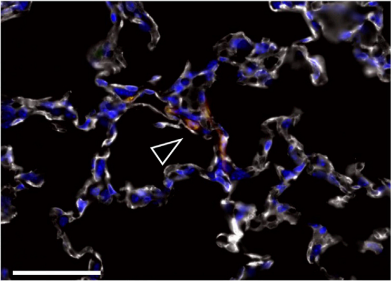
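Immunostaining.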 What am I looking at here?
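This is lung tissue cut through the alveoli, with thin septa outlined in white enclosing many empty airspaces and blue nuclei lying along the walls. Next to the arrowhead, a few elongated cells within one septum glow orange-red, red and green overlapping, spread thinly along the wall like the lining cells around them.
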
